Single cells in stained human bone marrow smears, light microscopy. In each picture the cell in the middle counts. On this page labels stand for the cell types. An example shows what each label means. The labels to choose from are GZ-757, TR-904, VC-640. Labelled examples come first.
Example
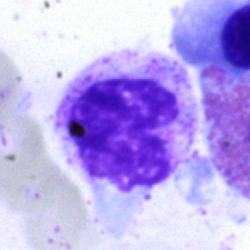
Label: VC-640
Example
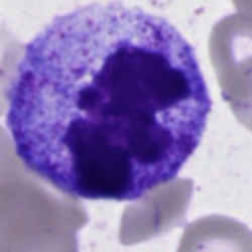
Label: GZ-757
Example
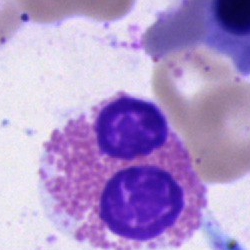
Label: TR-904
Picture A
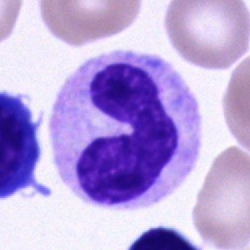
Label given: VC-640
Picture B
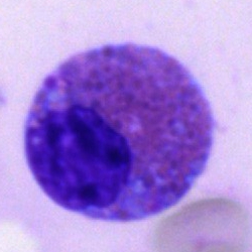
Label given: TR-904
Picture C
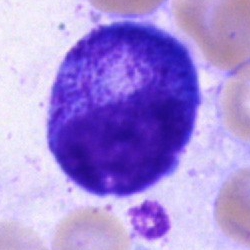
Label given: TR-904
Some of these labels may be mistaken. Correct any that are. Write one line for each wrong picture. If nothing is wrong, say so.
Wrong: C (TR-904); correct: GZ-757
